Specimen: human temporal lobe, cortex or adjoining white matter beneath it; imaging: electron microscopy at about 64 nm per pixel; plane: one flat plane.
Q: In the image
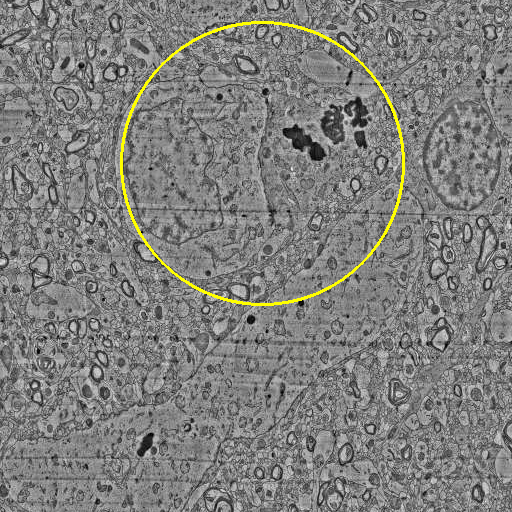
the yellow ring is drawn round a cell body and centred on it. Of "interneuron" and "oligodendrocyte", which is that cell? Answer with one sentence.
The cell centred in the ring is an oligodendrocyte.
